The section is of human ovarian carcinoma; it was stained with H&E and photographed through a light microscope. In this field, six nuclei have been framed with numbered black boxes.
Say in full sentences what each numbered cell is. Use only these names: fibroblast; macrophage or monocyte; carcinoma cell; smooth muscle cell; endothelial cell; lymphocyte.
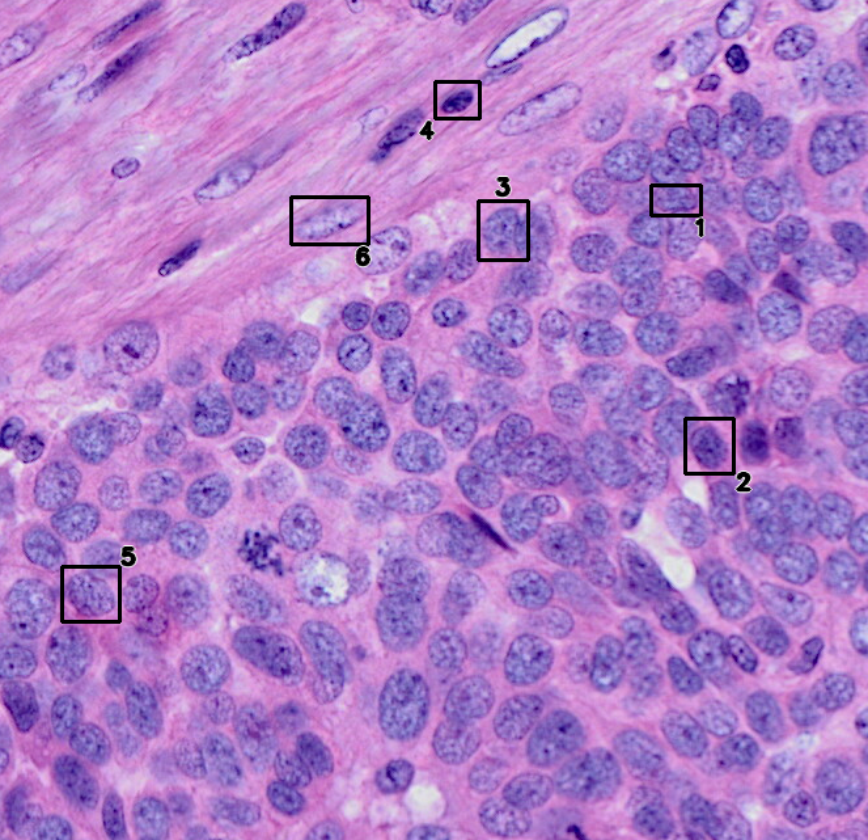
Cells 1, 2, 3 and 5 are carcinoma cells. Cell 4 is a lymphocyte. Cell 6 is a fibroblast.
